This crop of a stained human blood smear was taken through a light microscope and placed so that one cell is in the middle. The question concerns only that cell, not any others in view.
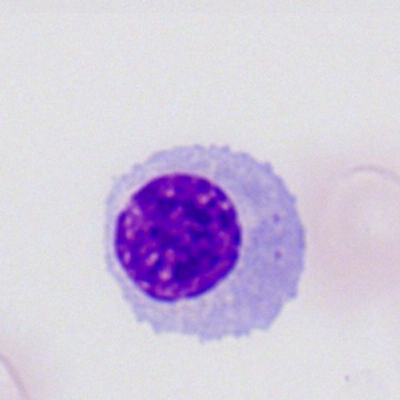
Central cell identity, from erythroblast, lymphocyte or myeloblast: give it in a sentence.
The cell at the centre of the field is an erythroblast.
